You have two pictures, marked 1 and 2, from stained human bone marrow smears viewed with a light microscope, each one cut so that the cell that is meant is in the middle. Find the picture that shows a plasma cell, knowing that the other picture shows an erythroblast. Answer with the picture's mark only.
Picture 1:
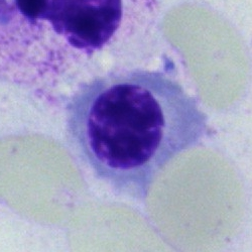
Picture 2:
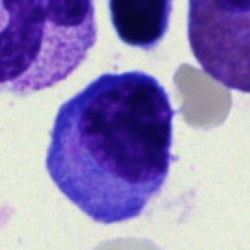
2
